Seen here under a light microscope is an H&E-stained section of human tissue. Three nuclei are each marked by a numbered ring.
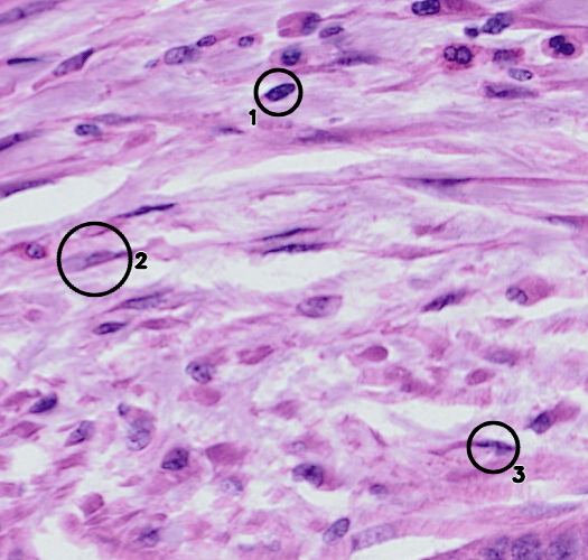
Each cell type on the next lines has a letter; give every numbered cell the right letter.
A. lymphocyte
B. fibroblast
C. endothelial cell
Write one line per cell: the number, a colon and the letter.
1: A
2: B
3: B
